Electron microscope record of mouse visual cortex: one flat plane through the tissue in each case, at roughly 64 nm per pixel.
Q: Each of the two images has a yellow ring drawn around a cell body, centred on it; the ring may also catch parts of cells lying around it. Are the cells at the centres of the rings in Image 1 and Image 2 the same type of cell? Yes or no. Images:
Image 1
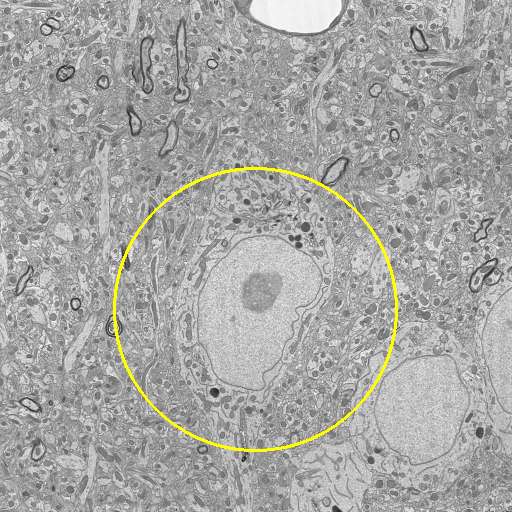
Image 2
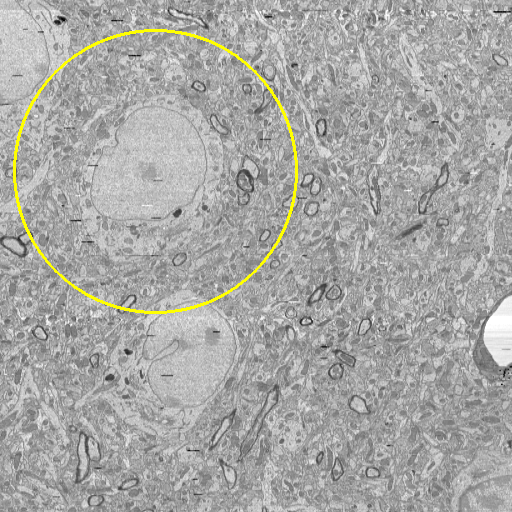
no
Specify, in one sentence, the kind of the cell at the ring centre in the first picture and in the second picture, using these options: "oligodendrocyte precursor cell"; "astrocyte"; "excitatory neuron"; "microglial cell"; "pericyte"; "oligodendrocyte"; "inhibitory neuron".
So the first is an inhibitory neuron, the second an excitatory neuron.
